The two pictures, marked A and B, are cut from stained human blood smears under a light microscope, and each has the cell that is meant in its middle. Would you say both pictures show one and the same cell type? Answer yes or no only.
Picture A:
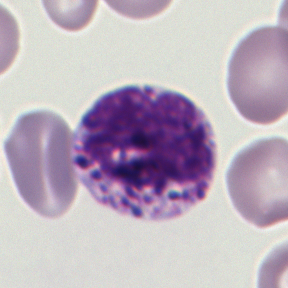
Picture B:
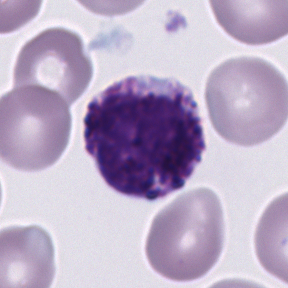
yes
